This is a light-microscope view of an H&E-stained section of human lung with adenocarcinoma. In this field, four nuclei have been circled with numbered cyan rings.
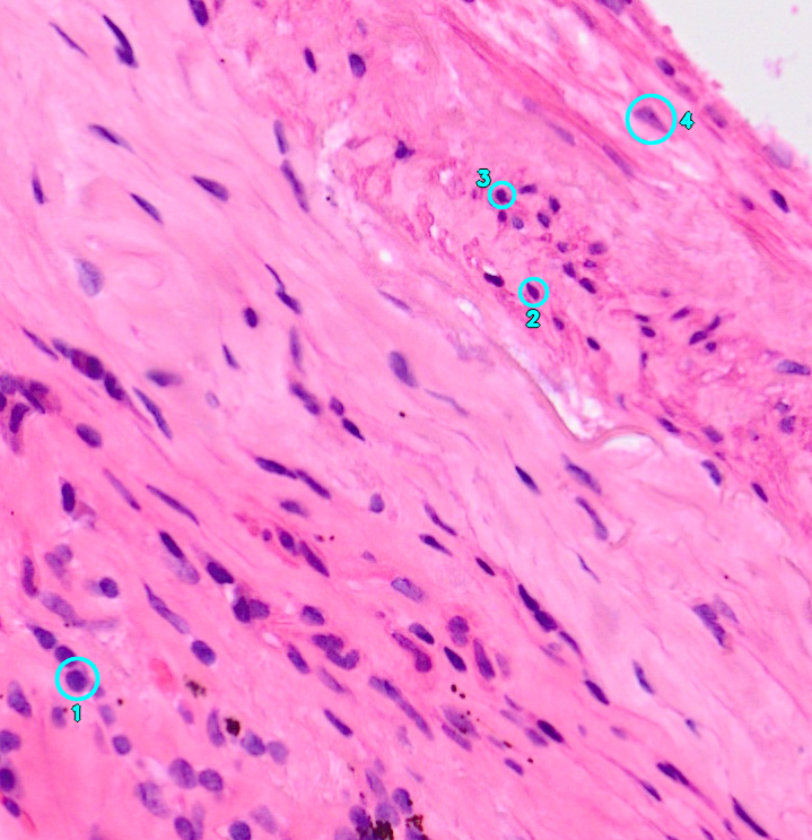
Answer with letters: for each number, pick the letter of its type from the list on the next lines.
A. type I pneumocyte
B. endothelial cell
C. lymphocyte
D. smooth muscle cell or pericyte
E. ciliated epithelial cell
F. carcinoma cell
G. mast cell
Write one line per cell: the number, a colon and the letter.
1: C
2: D
3: D
4: D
